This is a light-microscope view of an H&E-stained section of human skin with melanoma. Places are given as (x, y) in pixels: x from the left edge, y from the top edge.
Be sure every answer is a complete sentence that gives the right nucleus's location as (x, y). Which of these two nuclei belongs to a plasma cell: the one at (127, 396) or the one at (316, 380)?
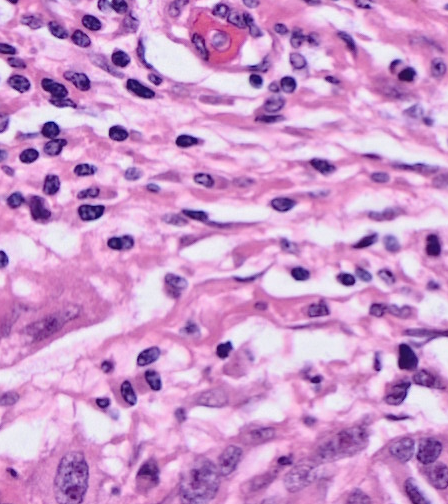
The nucleus at (127, 396) is the one that belongs to a plasma cell.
